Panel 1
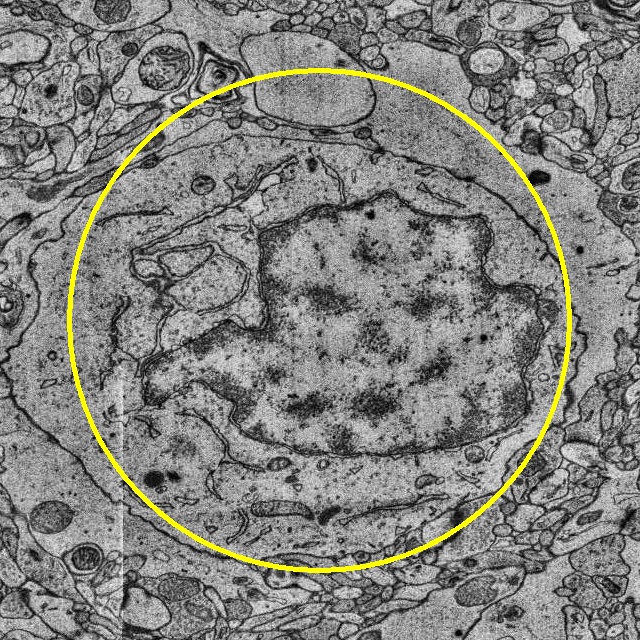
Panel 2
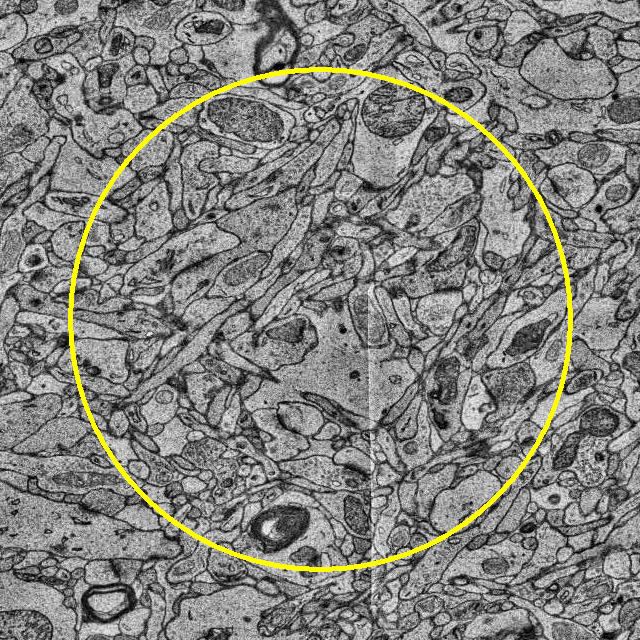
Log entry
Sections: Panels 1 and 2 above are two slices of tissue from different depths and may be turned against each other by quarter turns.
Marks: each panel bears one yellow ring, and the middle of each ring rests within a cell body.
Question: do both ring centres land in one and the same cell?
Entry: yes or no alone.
yes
